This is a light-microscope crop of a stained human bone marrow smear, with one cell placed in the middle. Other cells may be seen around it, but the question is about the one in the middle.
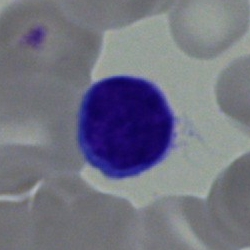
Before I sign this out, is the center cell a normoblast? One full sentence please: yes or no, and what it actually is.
No, the label for the central cell is a lymphocyte, not a normoblast.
